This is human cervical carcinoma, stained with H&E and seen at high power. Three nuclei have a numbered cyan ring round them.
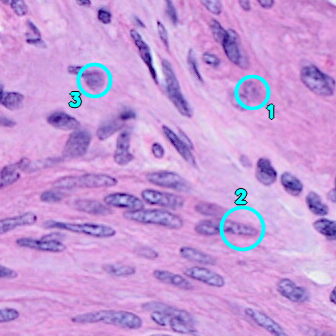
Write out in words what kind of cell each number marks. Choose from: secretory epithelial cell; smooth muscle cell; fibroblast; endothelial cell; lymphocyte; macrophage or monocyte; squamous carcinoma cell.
Cells 1 and 2 are smooth muscle cells. Cell 3 is a fibroblast.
